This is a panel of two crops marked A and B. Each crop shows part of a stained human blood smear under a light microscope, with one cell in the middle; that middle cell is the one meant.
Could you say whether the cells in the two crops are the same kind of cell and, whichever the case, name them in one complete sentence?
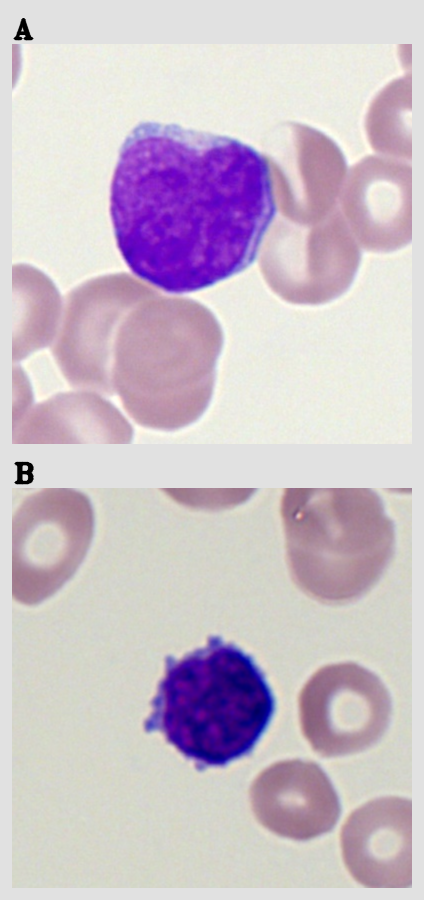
No, a lymphocyte is the cell in crop B, and crop A contains a blast.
